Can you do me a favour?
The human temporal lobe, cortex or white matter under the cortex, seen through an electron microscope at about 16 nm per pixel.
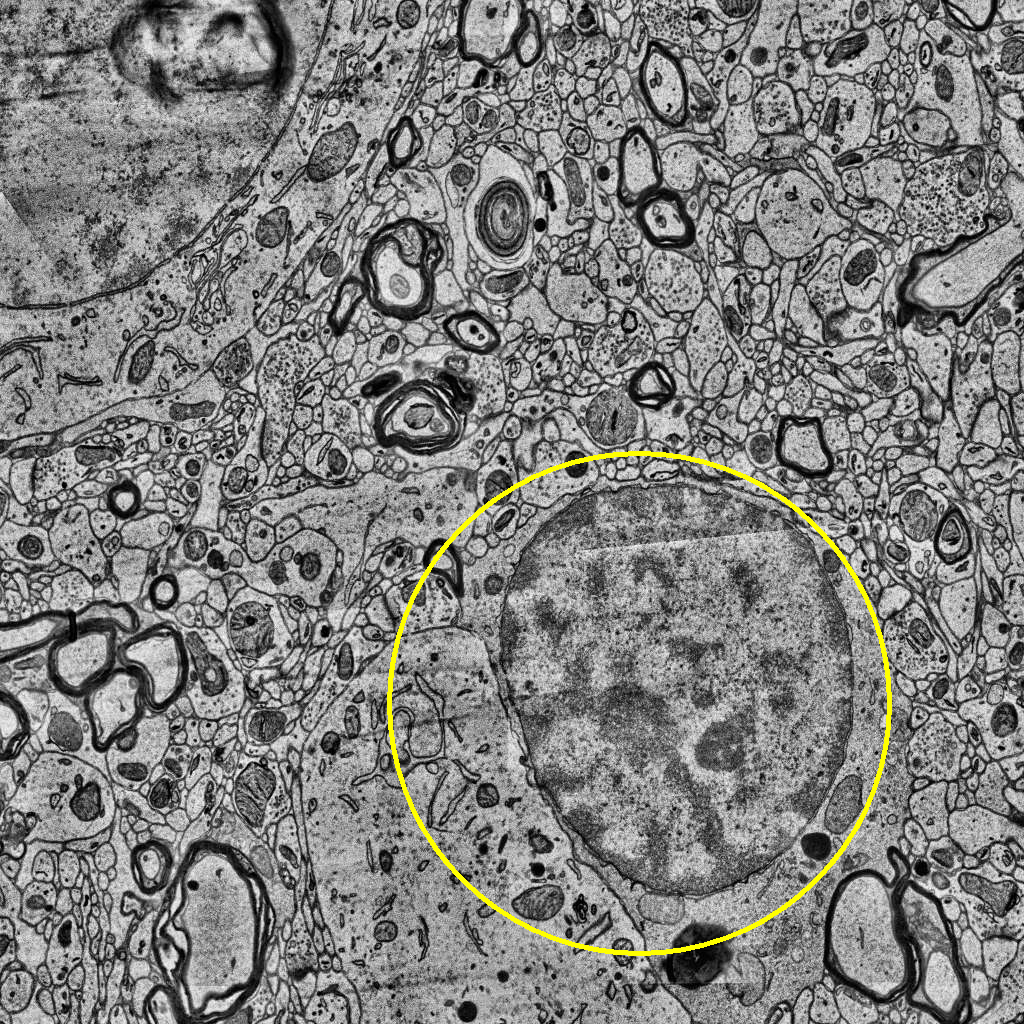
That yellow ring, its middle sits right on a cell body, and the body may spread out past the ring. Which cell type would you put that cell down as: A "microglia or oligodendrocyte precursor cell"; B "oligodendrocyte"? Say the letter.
B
